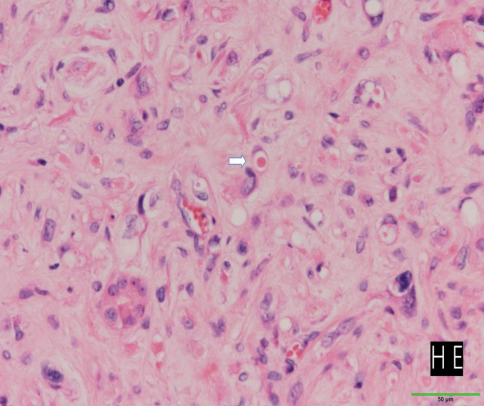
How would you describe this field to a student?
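Tumor cells, plump and partly spindled, lie scattered in a pink fibrous stroma. Several cells hold clear round cytoplasmic vacuoles, some with the nucleus pressed to the rim, giving a ring-like look; one vacuole contains a red blood cell. Nuclei vary in size, and some are large and dark. Red blood cells also lie in small spaces between the cells.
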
